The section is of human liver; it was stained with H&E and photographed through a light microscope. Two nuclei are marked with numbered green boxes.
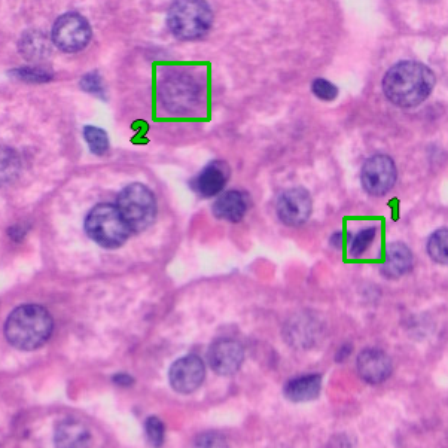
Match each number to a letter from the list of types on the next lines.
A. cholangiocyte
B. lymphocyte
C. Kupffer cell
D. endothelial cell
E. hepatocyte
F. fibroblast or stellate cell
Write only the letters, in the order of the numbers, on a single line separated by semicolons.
F; E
